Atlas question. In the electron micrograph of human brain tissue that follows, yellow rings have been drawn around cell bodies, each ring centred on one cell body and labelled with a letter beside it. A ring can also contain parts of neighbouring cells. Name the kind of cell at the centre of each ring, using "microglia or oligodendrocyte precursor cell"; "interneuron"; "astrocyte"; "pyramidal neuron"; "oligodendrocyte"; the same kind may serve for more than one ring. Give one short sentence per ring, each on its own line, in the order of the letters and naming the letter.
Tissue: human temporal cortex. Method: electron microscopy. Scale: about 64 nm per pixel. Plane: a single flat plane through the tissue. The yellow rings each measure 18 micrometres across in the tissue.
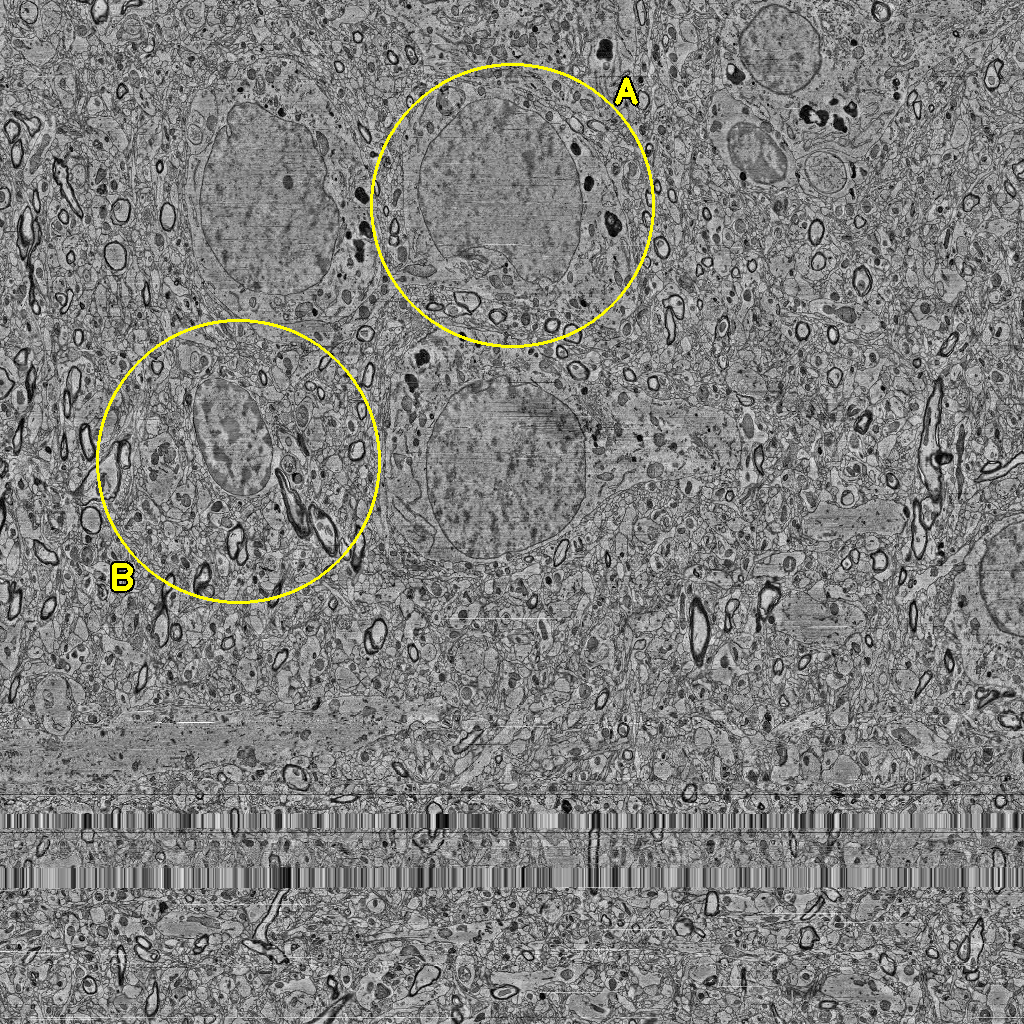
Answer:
For ring A, the cell at the centre is a pyramidal neuron.
For ring B, the cell at the centre is a microglial cell or oligodendrocyte precursor cell.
